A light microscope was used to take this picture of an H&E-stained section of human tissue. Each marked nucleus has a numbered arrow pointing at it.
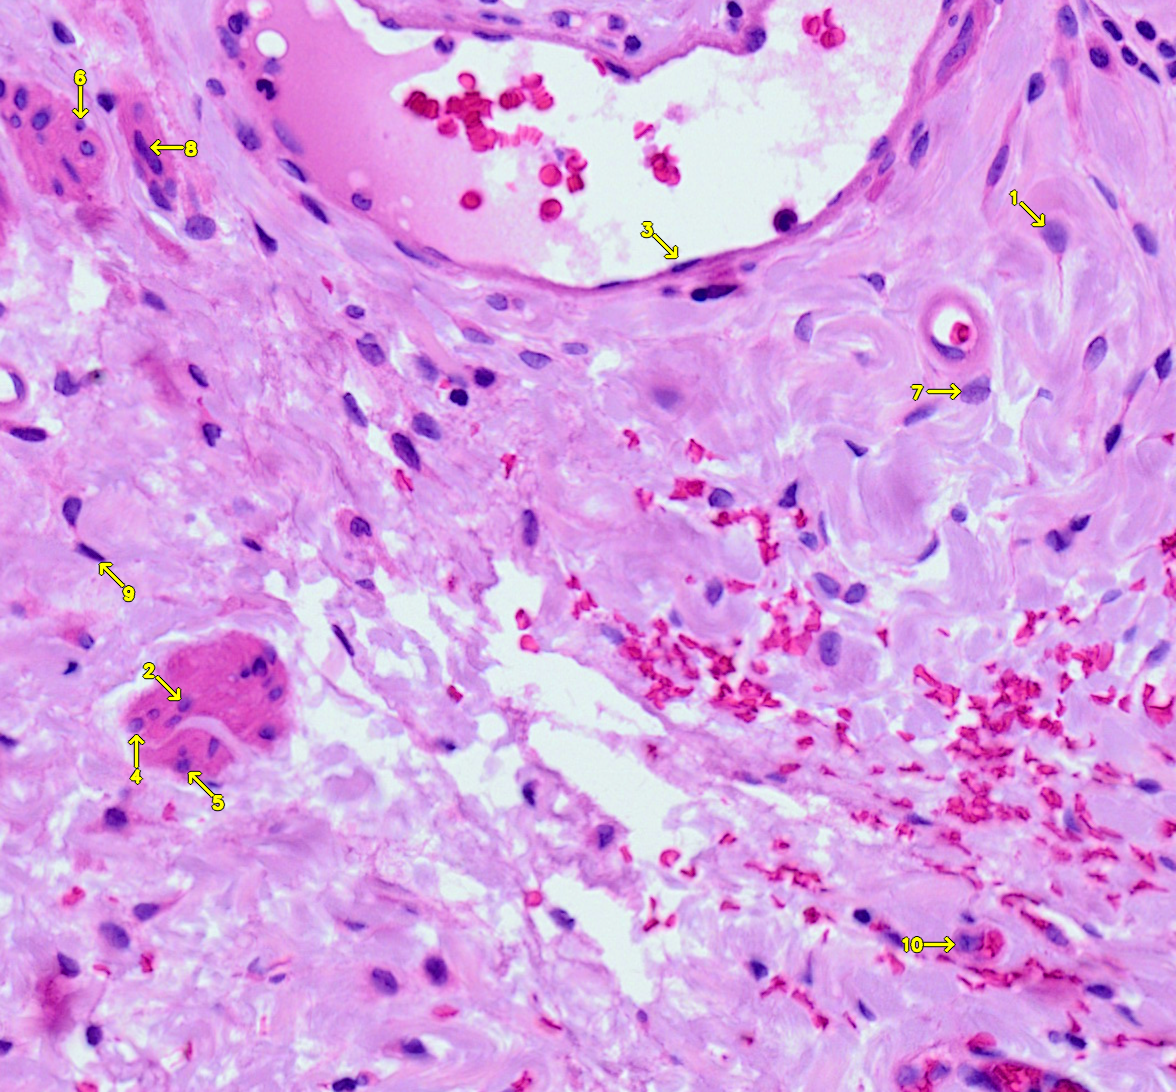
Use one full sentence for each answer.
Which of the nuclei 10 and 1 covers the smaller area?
The smaller nucleus is 10, and 1 covers roughly 1.5 times its area.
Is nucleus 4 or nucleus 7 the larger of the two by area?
Nucleus 7 covers more area, about 4 times as much as nucleus 4.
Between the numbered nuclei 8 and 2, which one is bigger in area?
Nucleus 8 is larger, with an area about 2 times that of nucleus 2.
